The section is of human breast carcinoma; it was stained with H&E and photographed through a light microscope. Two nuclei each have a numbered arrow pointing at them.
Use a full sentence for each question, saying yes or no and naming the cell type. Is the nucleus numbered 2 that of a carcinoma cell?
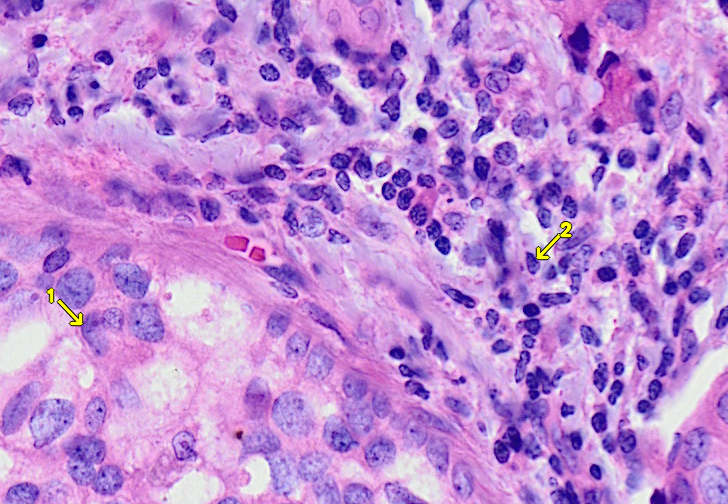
No, the cell at marker 2 is not a carcinoma cell; it is a lymphocyte.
